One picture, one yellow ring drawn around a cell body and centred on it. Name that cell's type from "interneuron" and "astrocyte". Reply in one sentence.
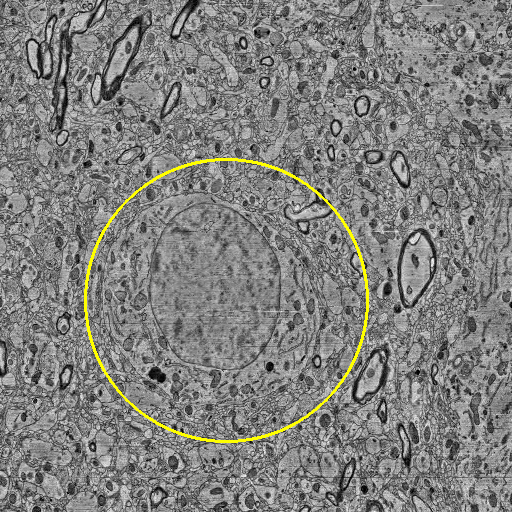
Centred in the ring is an interneuron.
